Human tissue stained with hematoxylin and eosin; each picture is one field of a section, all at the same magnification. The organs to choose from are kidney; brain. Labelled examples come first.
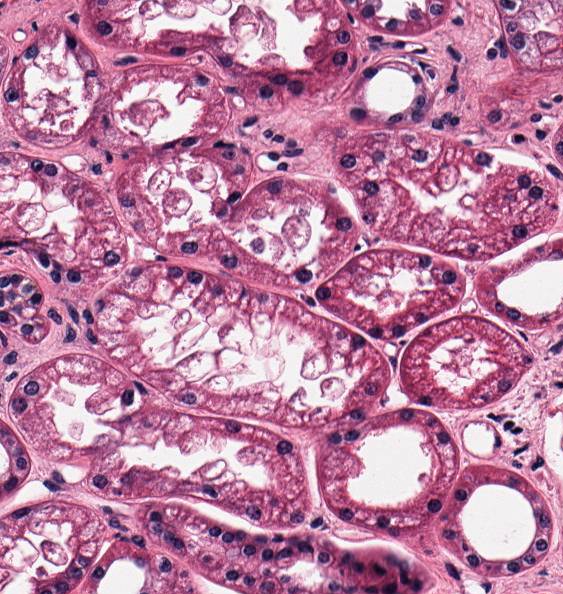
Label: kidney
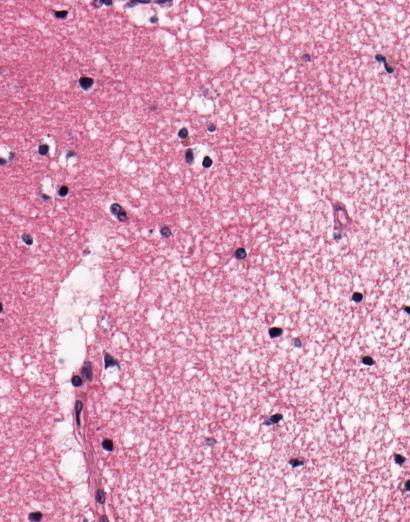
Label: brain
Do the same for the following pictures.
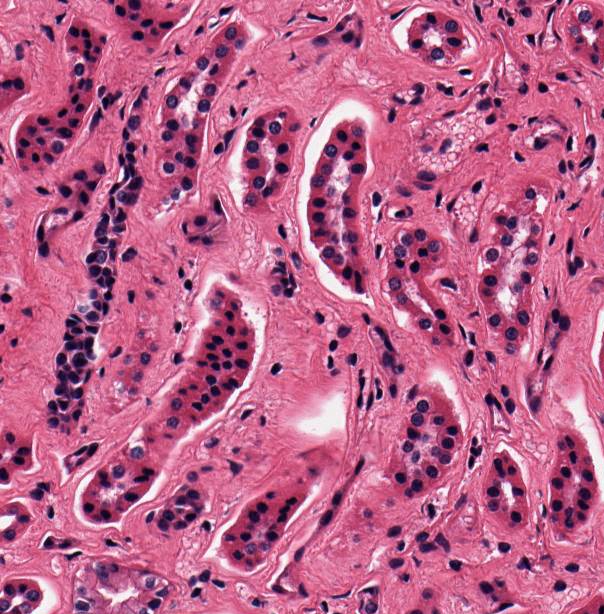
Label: kidney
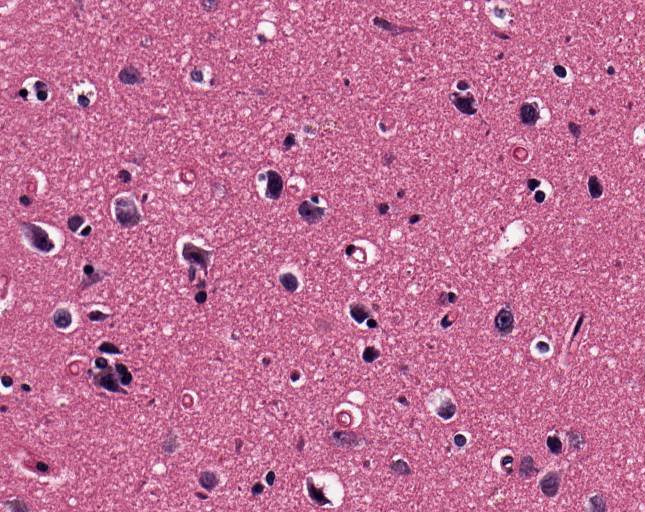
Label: brain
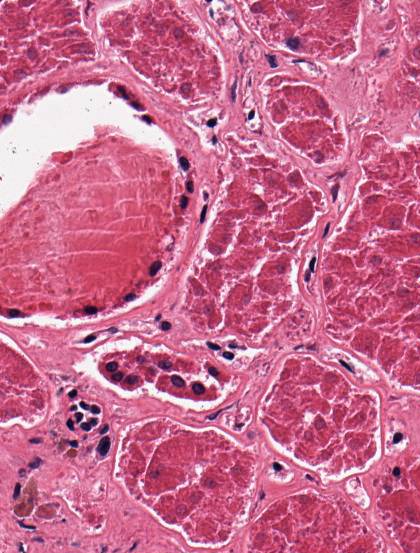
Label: kidney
